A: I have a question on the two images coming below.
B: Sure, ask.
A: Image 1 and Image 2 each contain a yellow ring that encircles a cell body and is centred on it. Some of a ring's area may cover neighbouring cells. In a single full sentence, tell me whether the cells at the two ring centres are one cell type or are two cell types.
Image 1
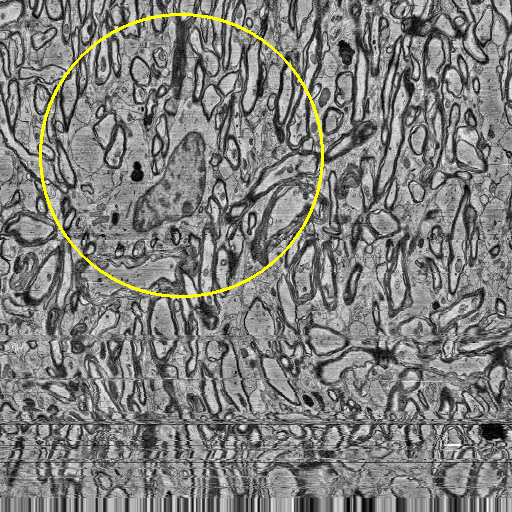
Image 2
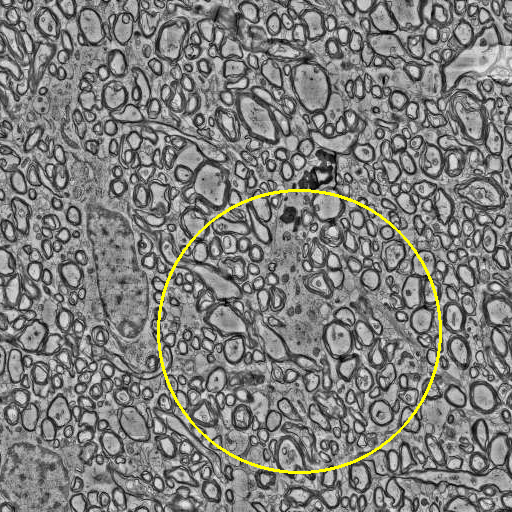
As for the ring-centre cells, the one in Image 1 and the one in Image 2 are two cell types.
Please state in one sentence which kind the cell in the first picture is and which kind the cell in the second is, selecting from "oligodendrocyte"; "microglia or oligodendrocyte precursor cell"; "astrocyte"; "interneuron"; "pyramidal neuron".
The first ringed cell is a microglial cell or oligodendrocyte precursor cell, the second ringed cell an oligodendrocyte.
